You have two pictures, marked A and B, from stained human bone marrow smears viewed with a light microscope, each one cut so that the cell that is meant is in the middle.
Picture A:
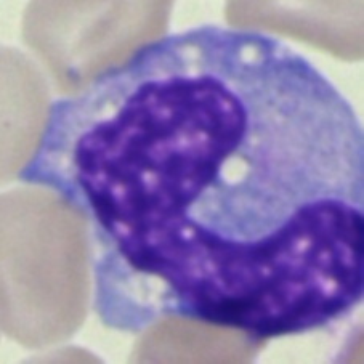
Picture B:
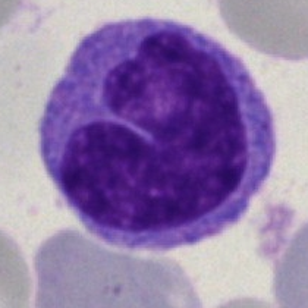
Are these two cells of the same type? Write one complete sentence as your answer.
Yes, the two pictures both show monocytes.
